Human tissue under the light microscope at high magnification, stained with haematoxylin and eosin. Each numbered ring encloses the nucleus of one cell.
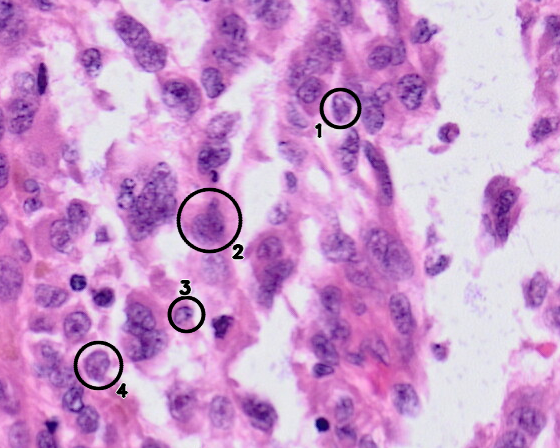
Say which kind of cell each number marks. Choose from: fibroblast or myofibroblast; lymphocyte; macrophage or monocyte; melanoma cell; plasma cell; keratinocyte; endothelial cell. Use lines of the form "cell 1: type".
cell 1: melanoma cell
cell 2: melanoma cell
cell 3: macrophage or monocyte
cell 4: melanoma cell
